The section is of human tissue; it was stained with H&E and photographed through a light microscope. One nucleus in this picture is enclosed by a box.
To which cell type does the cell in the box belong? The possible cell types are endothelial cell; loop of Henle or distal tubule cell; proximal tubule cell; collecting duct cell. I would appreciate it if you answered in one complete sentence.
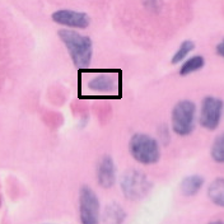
In this section, the cell in the box is an endothelial cell.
